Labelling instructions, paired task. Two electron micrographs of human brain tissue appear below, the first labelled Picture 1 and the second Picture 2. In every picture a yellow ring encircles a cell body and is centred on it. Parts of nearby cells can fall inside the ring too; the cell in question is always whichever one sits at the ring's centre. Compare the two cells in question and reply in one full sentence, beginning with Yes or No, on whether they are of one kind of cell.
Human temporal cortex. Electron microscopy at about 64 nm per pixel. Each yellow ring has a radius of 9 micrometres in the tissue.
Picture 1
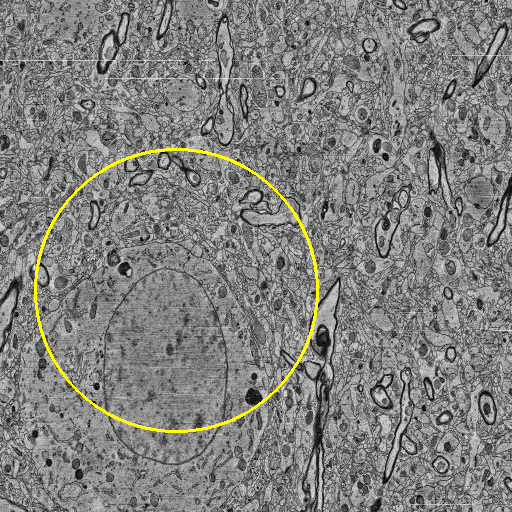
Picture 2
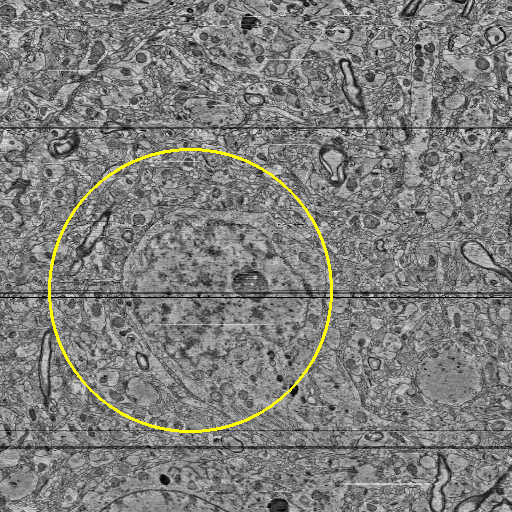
No, the two cells at the ring centres in Picture 1 and Picture 2 are of two kinds.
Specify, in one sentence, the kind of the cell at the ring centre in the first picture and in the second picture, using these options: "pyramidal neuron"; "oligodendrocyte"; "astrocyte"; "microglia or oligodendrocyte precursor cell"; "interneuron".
So the first is a pyramidal neuron, the second an interneuron.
